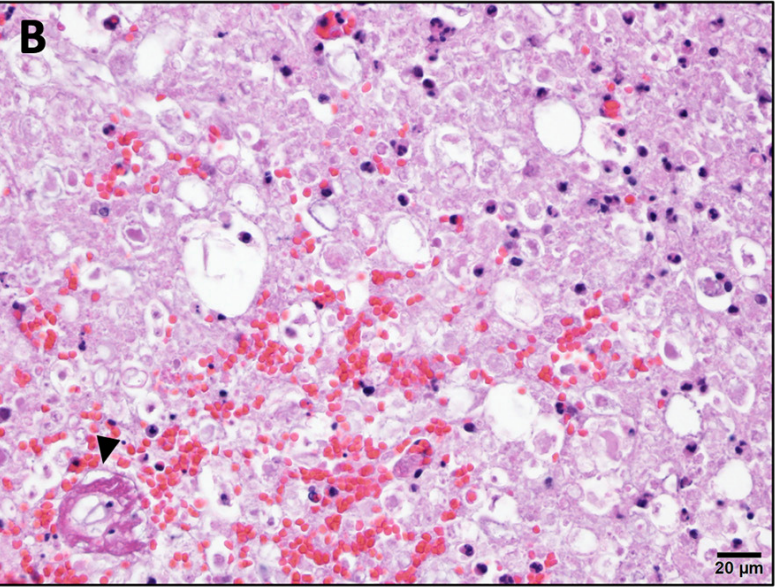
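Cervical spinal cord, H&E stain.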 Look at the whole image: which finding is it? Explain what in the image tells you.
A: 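Many round, enlarged clear spaces outlined by thin pink rims. Some spaces contain a swollen pink axon, others appear empty.
Marked distension of myelin sheaths.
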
